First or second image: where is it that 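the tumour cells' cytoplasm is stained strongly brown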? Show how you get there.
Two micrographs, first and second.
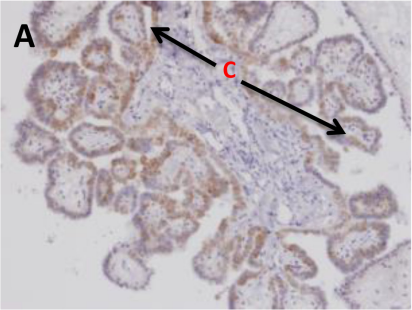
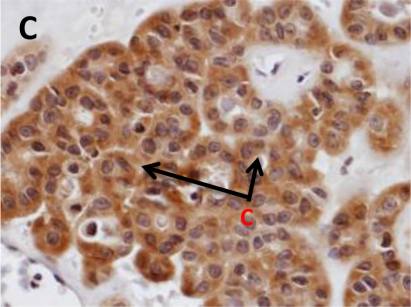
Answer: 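The second image. Second image: tumour cells have dense, even brown cytoplasm around blue nuclei. First image: the epithelium lining the papillae is only pale brown, with much blue showing.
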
